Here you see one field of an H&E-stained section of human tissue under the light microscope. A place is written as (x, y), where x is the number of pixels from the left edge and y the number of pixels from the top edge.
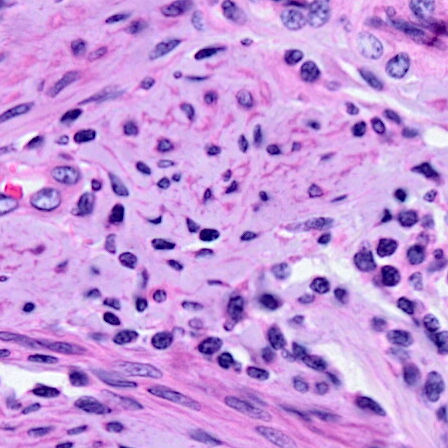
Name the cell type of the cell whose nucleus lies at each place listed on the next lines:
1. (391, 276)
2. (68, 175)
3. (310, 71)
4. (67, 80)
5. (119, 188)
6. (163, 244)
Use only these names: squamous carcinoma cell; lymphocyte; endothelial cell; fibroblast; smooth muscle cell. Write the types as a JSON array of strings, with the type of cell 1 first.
["lymphocyte", "endothelial cell", "lymphocyte", "smooth muscle cell", "fibroblast", "lymphocyte"]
